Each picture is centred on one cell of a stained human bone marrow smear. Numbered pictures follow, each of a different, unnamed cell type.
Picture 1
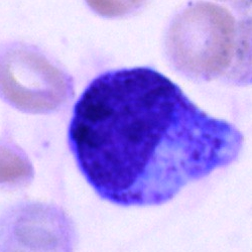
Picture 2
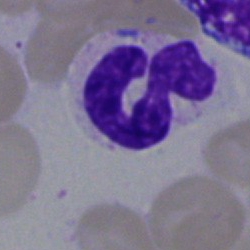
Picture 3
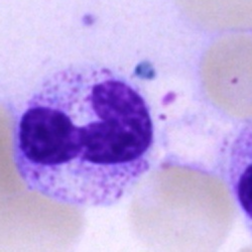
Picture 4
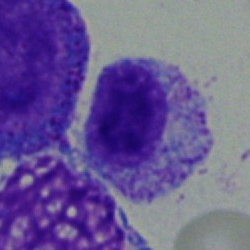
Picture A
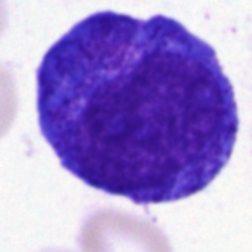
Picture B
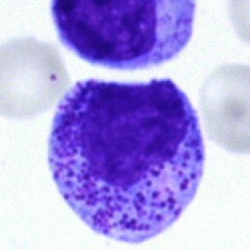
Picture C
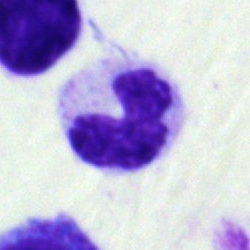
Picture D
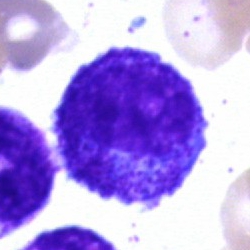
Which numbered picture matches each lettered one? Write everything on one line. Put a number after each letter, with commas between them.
A 1, B 4, C 3, D 1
